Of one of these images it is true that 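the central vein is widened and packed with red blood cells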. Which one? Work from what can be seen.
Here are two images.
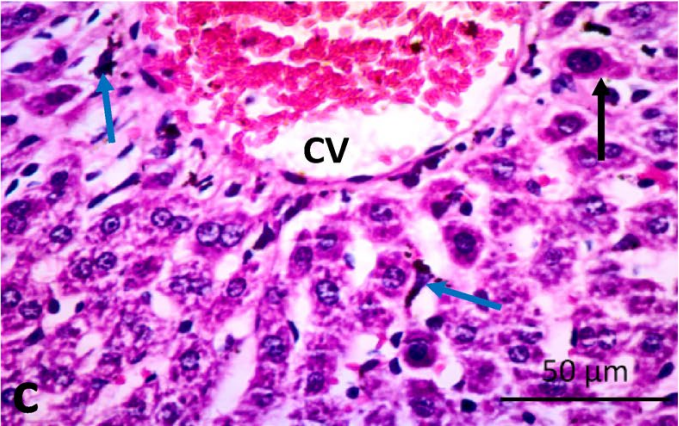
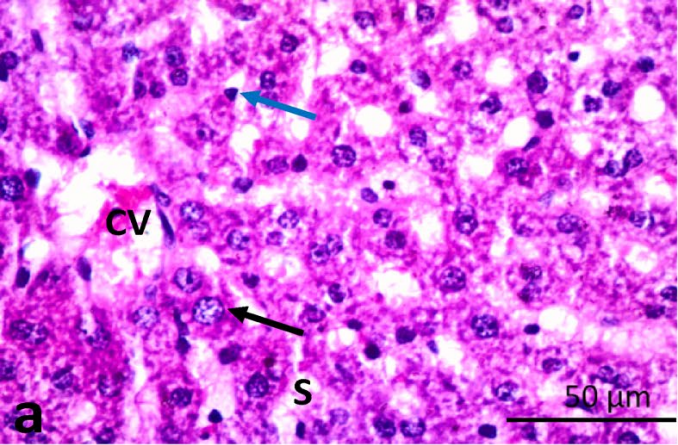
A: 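First image: a wide vessel filled with a dense mass of red blood cells. Second image: a small vein with only a few red cells in it. The answer: the first image.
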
